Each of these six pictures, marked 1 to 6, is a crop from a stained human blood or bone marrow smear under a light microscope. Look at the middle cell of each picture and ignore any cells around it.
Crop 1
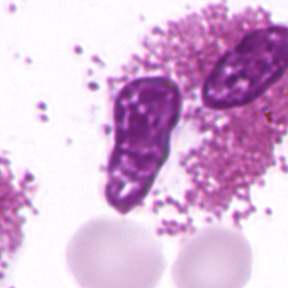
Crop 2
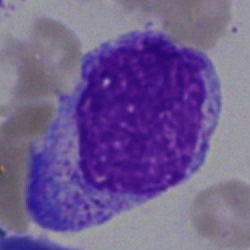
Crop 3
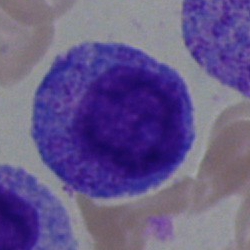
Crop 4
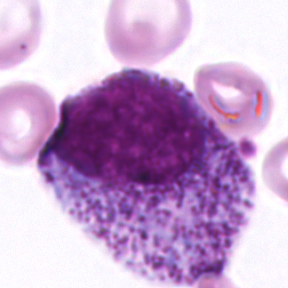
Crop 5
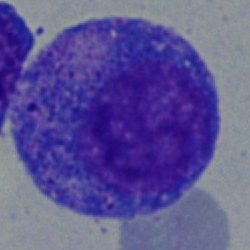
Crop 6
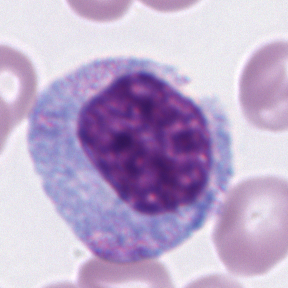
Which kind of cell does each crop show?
1: eosinophil
2: promyelocyte
3: myelocyte
4: myelocyte
5: promyelocyte
6: promyelocyte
